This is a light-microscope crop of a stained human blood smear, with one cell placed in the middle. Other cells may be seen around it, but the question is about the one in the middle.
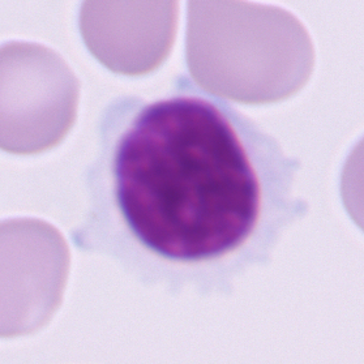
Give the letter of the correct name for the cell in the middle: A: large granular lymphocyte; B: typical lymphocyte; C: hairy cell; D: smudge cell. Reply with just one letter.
C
